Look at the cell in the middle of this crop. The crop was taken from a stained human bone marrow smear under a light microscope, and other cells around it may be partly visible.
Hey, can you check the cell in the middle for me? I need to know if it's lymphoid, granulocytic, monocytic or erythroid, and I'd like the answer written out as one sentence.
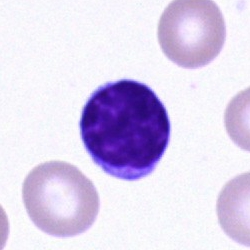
With respect to lineage, the middle cell falls within the lymphoid lineage.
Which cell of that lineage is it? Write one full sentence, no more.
The centrally located cell in the crop is a lymphocyte.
